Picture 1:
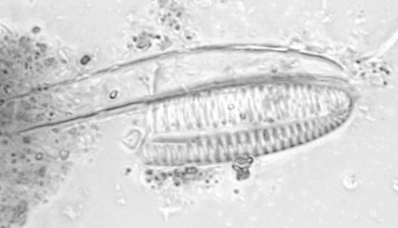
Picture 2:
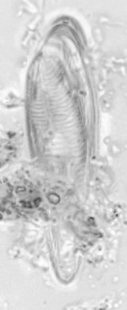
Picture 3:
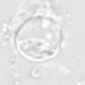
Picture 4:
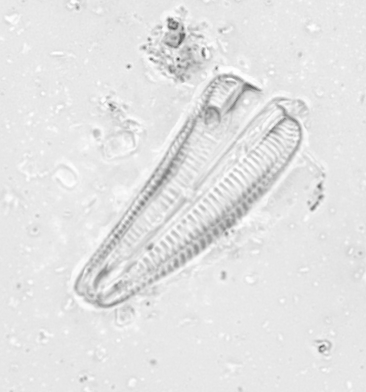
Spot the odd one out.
Picture 3 (Thalassiosira among Rhoicosphenia).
